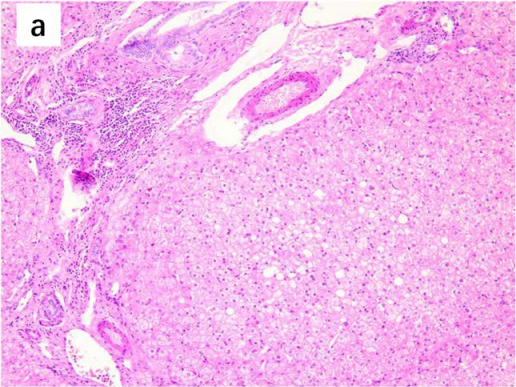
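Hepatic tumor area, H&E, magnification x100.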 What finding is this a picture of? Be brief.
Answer: Lymphocytic infiltration.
